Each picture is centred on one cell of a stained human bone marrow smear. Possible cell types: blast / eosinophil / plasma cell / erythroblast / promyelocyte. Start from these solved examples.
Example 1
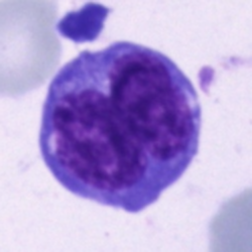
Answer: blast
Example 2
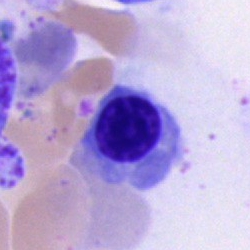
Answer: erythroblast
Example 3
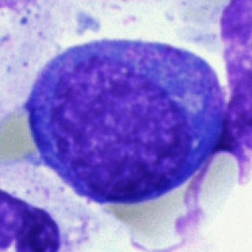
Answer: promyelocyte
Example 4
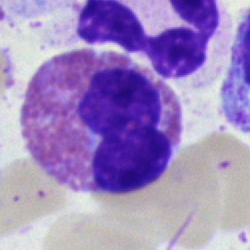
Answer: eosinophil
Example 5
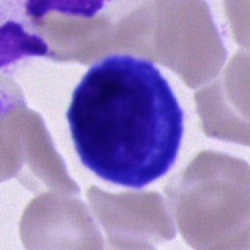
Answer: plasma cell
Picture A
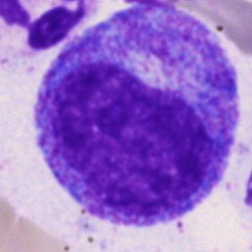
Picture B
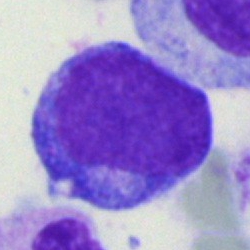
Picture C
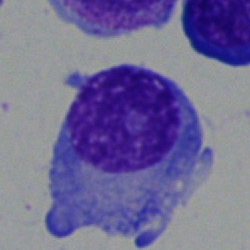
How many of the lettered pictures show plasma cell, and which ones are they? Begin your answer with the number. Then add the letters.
Count: 1 (C)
